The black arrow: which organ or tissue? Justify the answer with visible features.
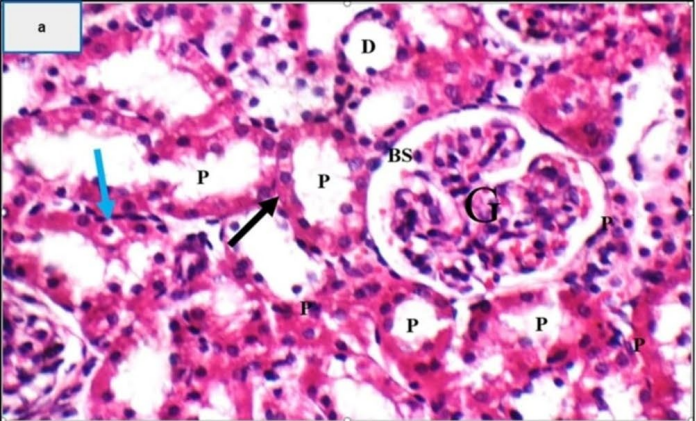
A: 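The arrow points to the wall of a tubule. The wall is a single layer of cells with round nuclei and pink cytoplasm around a lumen.
Epithelial lining.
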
